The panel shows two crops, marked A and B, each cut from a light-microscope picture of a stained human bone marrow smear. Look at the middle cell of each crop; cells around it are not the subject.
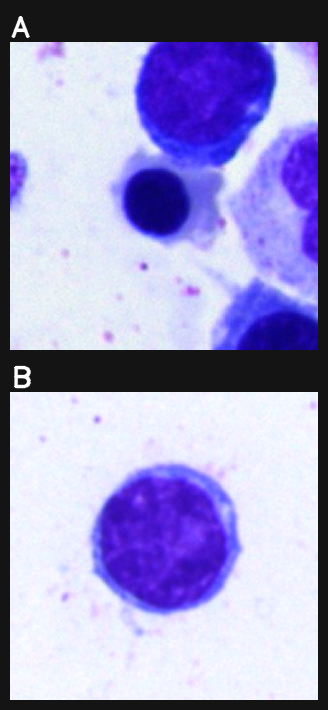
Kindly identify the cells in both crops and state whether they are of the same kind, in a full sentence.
No, crop A is to be identified as an erythroblast and crop B as a lymphocyte.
